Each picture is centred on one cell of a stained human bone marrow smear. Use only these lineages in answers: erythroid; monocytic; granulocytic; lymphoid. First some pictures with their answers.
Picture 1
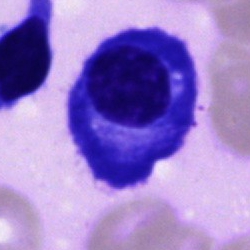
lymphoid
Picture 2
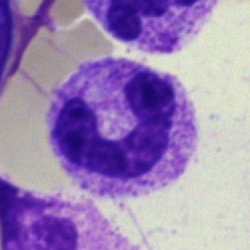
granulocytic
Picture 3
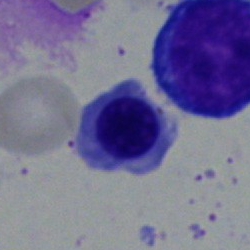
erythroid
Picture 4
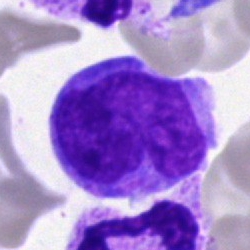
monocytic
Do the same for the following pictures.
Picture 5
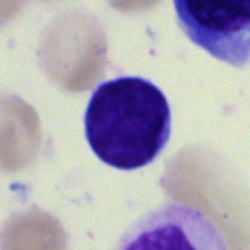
lymphoid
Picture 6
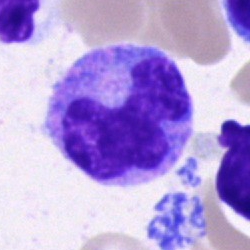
monocytic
